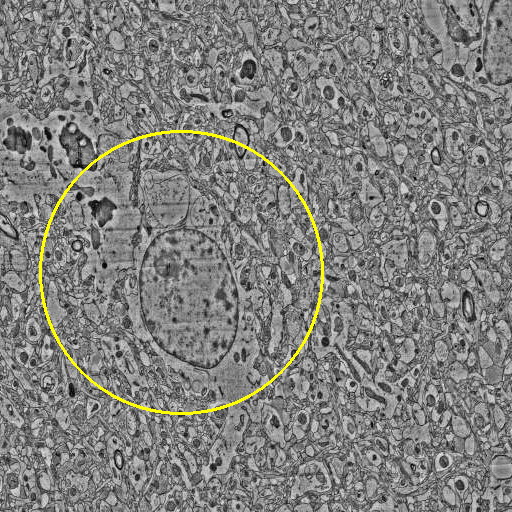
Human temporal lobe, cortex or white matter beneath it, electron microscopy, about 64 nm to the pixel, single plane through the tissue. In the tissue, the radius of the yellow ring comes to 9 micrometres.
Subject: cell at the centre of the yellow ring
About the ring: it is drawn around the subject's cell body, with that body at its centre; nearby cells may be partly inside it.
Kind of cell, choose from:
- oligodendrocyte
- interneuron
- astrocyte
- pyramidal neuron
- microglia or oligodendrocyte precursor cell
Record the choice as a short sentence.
The subject cell is an astrocyte.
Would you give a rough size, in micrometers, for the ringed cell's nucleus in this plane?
The nucleus appears roughly 9 by 6 micrometres in this plane.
